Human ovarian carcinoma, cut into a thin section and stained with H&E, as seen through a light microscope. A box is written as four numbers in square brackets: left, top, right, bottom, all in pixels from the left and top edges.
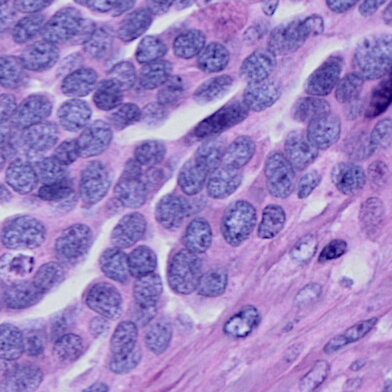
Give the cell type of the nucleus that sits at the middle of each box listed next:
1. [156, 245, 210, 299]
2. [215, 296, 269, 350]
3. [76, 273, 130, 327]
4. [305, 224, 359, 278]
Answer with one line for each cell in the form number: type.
1: carcinoma cell
2: fibroblast
3: carcinoma cell
4: lymphocyte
